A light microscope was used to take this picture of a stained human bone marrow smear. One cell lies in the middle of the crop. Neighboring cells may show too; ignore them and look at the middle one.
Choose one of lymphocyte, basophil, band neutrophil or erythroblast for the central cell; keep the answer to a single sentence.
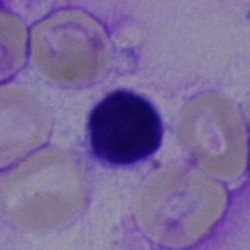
The cell at the heart of this crop is a lymphocyte.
